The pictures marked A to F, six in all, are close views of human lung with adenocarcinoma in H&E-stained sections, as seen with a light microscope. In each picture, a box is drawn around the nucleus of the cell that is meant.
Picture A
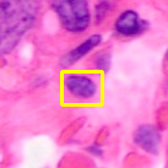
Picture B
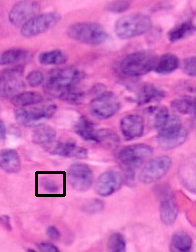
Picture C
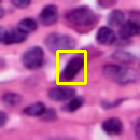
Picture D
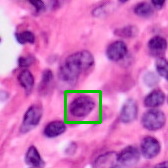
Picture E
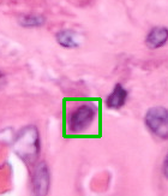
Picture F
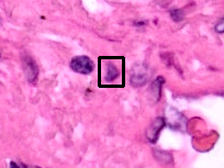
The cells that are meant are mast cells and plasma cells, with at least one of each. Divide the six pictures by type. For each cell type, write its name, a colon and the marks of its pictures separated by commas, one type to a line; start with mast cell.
mast cell: A, B, F
plasma cell: C, D, E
